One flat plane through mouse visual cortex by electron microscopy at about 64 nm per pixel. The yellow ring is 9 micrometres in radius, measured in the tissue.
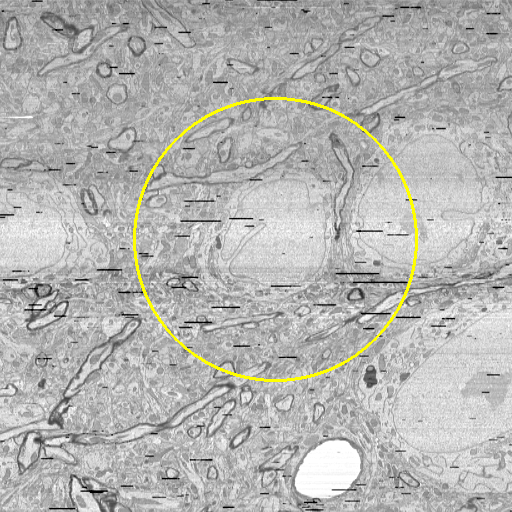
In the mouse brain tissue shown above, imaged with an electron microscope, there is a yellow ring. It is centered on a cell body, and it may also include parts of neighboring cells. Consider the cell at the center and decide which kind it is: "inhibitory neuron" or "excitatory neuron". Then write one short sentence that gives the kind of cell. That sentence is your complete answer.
This centered cell body is that of an excitatory neuron.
